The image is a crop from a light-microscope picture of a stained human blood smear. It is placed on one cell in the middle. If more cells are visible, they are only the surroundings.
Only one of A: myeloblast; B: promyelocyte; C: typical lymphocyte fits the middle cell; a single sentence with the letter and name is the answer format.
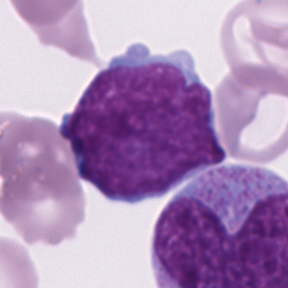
The cell in the middle is a myeloblast, so option A is correct.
